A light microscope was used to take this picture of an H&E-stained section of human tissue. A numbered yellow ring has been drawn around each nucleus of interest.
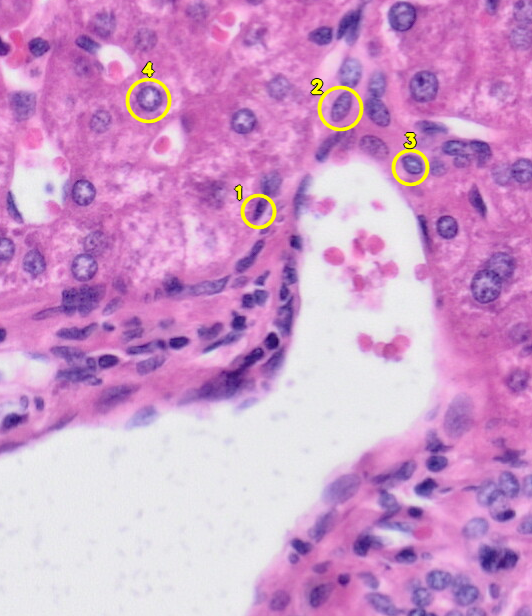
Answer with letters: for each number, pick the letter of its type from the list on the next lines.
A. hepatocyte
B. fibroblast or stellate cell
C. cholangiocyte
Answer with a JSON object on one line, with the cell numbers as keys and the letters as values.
{"1": "B", "2": "C", "3": "C", "4": "A"}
